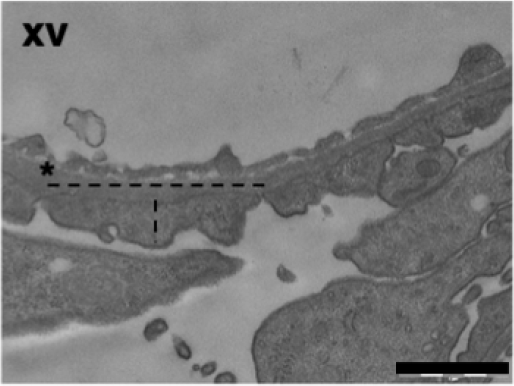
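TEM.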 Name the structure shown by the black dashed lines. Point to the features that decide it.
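Foot process. The dashed lines span a cell projection lying on the dark band.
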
